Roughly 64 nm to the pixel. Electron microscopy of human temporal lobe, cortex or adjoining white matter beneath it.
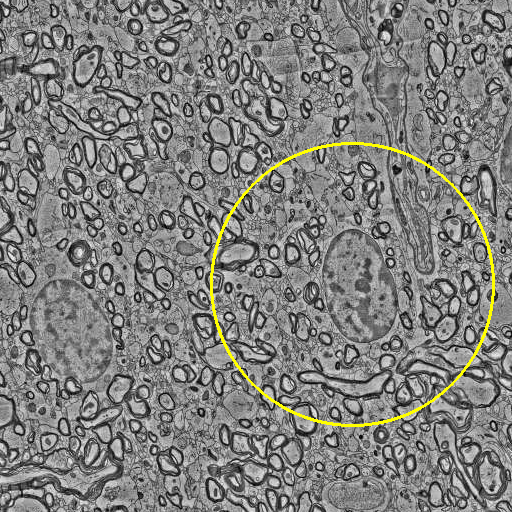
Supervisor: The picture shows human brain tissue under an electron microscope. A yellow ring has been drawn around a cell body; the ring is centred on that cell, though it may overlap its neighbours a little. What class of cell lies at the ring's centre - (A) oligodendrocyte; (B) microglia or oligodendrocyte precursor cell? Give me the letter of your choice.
B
